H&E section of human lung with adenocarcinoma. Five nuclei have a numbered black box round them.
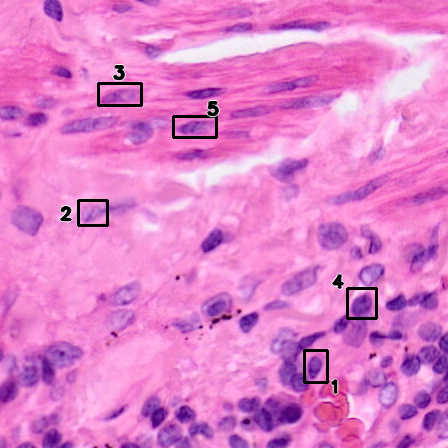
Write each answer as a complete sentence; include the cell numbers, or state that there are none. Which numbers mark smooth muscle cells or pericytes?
The cells the numbers 3 and 5 point to are smooth muscle cells or pericytes.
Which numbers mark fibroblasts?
None but cell 2 among the numbered cells is a fibroblast.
